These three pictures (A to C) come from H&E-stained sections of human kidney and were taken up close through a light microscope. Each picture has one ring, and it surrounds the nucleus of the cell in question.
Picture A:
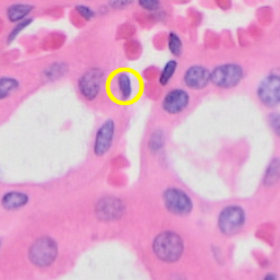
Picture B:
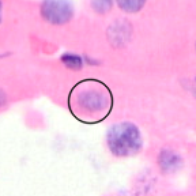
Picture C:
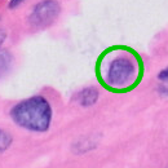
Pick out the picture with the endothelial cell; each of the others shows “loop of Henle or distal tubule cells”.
A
